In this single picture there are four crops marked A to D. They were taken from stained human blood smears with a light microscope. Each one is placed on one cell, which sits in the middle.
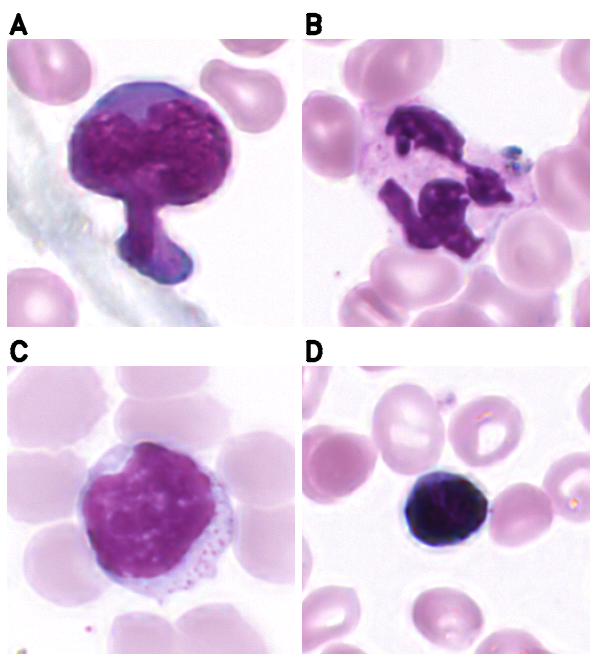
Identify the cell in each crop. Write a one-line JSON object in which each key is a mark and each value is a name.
{"A": "atypical promyelocyte", "B": "neutrophil", "C": "large granular lymphocyte", "D": "erythroblast"}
